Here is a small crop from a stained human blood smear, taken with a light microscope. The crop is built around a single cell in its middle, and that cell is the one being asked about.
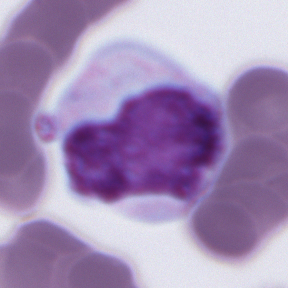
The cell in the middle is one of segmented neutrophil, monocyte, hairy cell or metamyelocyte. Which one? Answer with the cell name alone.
metamyelocyte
